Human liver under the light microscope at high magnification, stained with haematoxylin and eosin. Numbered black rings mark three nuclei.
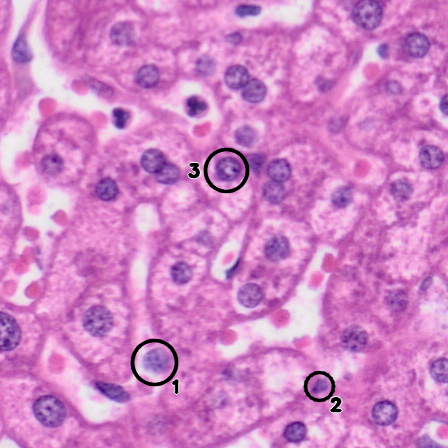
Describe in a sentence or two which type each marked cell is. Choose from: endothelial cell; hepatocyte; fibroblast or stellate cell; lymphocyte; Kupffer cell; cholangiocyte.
Cell 1 is an endothelial cell. Cell 2 is a fibroblast or stellate cell. Cell 3 is a hepatocyte.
